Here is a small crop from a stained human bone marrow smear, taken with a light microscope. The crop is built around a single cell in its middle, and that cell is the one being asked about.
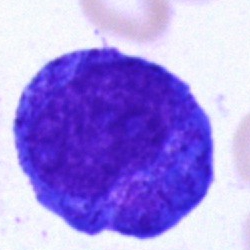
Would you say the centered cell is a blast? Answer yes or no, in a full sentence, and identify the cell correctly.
No, in the centre of the crop lies a promyelocyte, not a blast.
